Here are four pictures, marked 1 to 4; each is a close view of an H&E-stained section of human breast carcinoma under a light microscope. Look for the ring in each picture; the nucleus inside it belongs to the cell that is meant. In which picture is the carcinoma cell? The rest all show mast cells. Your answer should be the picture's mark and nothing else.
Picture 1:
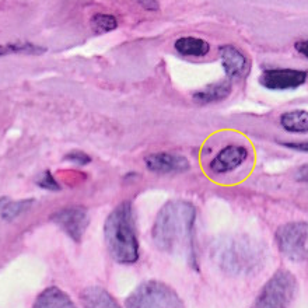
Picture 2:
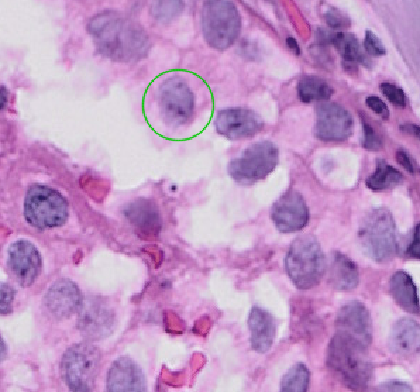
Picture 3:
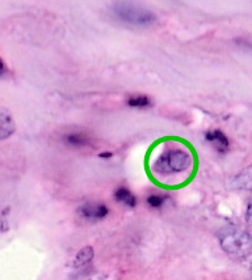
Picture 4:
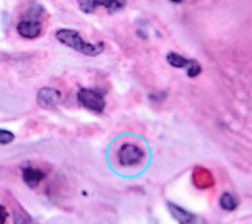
2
